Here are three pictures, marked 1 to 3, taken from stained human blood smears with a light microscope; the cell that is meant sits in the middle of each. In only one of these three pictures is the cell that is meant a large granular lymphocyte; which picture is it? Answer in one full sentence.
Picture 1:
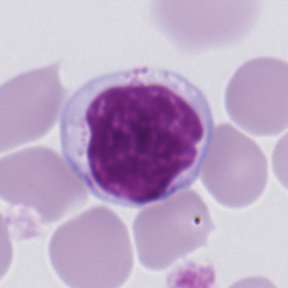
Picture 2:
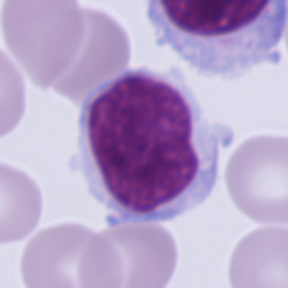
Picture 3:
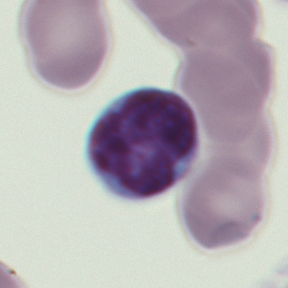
The picture with the large granular lymphocyte is 1.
